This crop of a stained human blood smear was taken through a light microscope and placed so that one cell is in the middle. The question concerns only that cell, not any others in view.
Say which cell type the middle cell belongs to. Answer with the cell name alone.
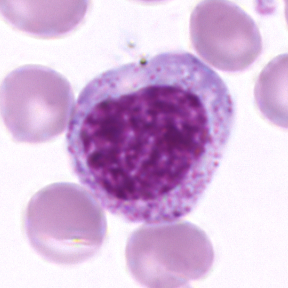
myelocyte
